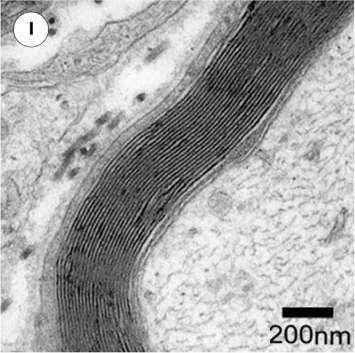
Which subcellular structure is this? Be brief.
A: Myelin sheath.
